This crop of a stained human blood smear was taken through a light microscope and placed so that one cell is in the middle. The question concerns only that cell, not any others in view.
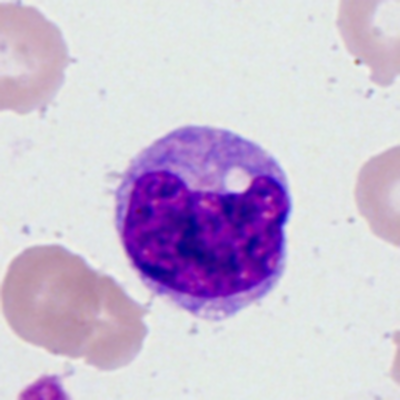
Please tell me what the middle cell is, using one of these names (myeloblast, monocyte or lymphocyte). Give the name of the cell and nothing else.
monocyte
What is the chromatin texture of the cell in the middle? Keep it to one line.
The chromatin in this nucleus is coarsely clumped.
